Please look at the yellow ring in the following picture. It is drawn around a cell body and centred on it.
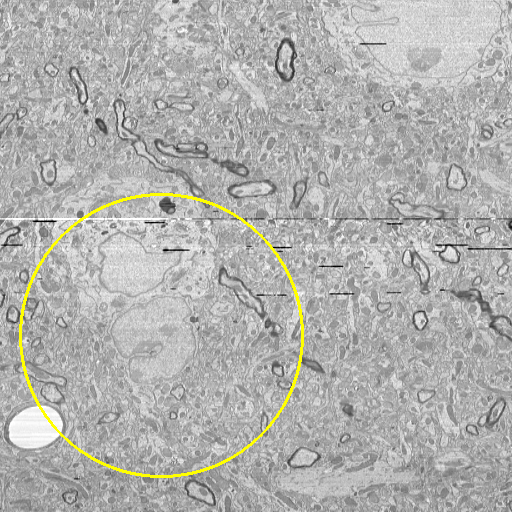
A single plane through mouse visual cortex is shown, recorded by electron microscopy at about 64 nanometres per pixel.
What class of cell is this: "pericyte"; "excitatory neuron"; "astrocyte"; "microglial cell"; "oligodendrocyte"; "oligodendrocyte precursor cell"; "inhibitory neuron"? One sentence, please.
The ring surrounds the cell body of an oligodendrocyte precursor cell.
